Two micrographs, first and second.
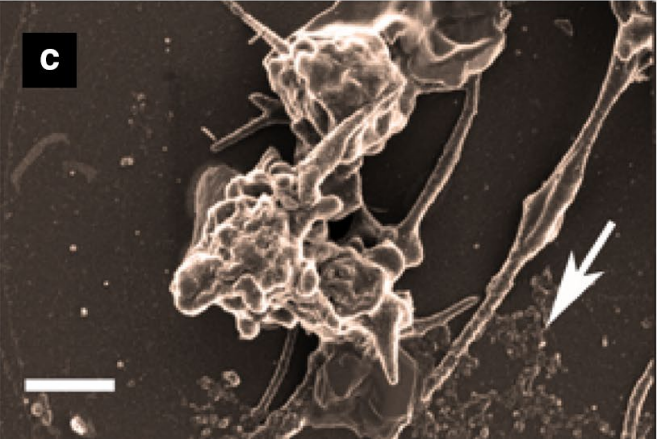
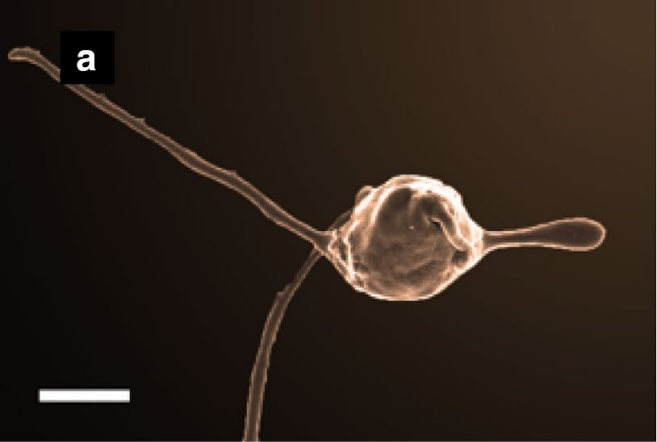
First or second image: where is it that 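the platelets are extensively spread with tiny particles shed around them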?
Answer: The first image.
